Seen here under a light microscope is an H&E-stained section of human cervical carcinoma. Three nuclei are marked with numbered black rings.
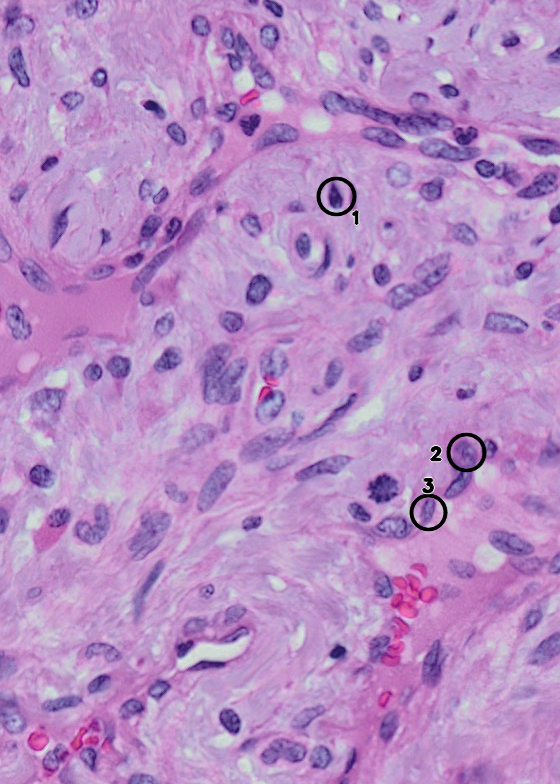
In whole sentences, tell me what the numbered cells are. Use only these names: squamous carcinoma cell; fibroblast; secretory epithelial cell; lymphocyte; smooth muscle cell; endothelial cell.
Cell 1 is a lymphocyte. Cells 2 and 3 are endothelial cells.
